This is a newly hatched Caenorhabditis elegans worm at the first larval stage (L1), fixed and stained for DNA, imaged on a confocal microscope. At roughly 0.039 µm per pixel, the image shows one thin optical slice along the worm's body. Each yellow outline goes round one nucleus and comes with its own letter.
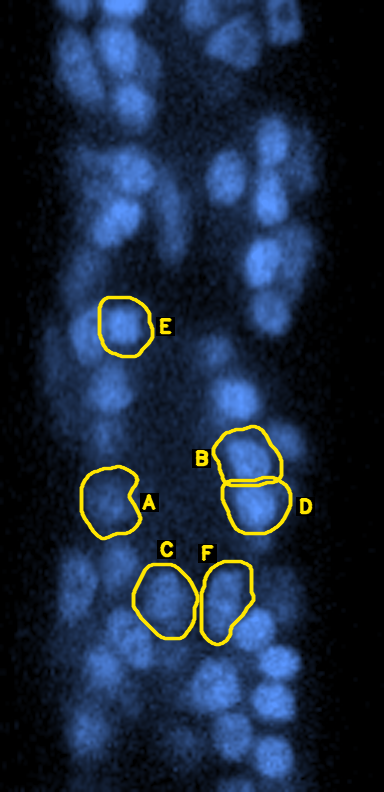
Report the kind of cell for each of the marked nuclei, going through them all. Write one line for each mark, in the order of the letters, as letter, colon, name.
A: neuron
B: neuron
C: pharyngeal marginal cell
D: neuron
E: GLR cell
F: pharyngeal marginal cell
